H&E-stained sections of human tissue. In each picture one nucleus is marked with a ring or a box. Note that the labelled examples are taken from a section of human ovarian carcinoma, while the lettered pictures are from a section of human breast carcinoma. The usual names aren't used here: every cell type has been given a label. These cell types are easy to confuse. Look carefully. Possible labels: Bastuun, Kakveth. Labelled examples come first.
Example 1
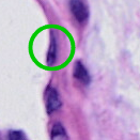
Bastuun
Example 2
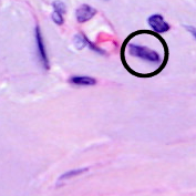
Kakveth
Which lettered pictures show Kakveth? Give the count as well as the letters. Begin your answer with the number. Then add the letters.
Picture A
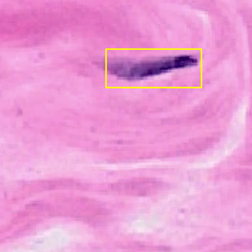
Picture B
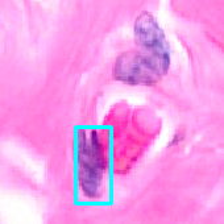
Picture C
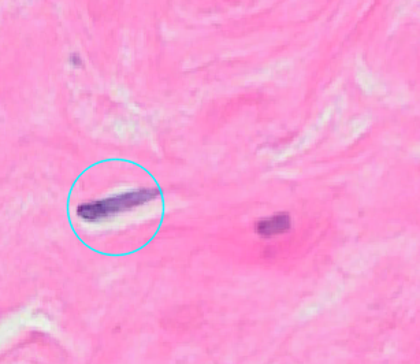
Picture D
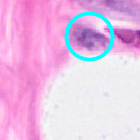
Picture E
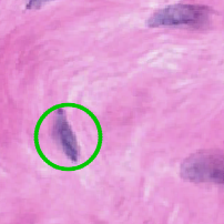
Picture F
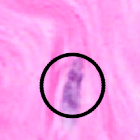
4: A, C, E, F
